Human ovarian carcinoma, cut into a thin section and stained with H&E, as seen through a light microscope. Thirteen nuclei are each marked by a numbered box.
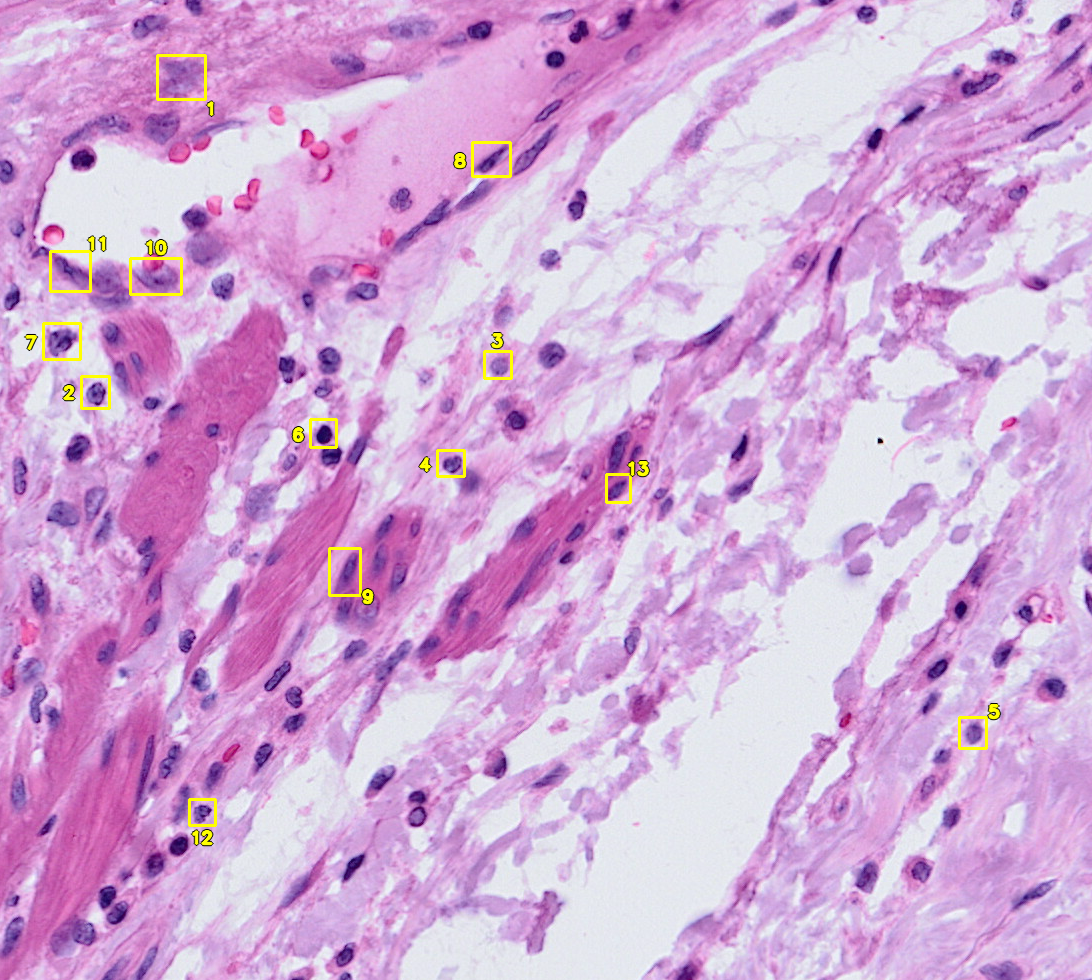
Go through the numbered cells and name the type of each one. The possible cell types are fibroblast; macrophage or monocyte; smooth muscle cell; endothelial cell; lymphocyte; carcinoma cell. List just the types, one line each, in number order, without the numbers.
fibroblast
lymphocyte
macrophage or monocyte
lymphocyte
lymphocyte
lymphocyte
macrophage or monocyte
endothelial cell
smooth muscle cell
endothelial cell
endothelial cell
lymphocyte
smooth muscle cell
